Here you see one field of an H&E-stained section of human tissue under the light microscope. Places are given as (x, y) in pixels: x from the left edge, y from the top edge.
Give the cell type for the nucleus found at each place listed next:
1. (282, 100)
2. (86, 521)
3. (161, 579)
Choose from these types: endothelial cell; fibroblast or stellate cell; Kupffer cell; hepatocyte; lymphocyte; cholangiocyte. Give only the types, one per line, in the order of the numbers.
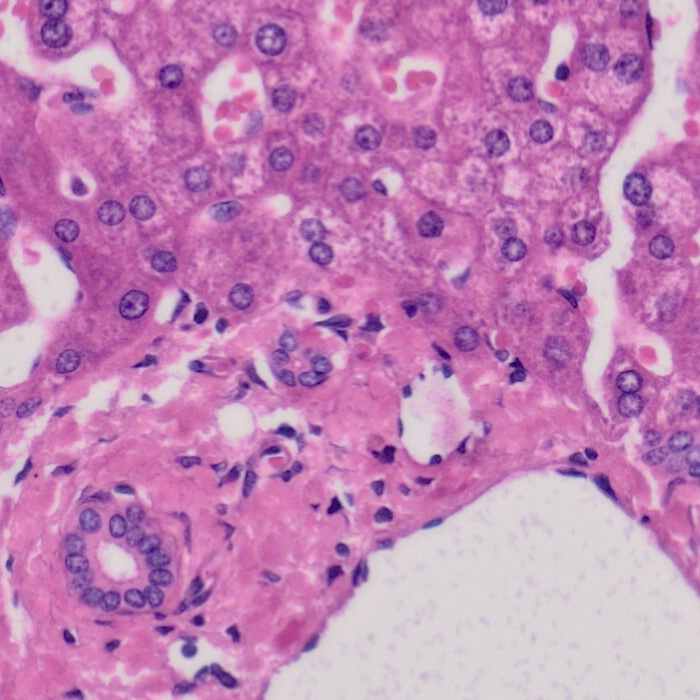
hepatocyte
cholangiocyte
cholangiocyte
